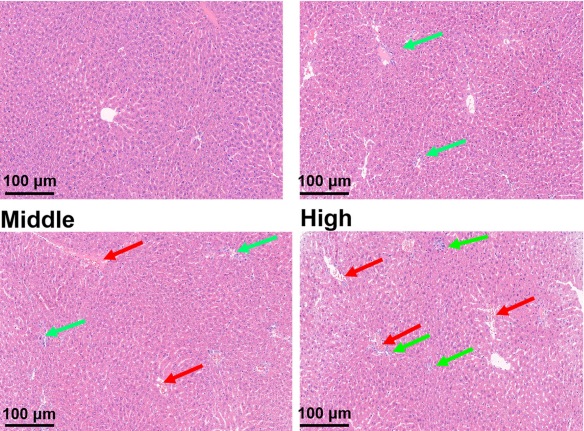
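These four fields show liver parenchyma stained pink and purple. The tissue is a continuous sheet of polygonal cells with pink cytoplasm and small round purple nuclei, packed closely in cords between narrow clear spaces. Small round or irregular empty lumens of vessels are scattered through each field. In three of the fields arrows point to small patches where purple-blue nuclei crowd more densely than in the surrounding tissue, and to spots around vessel lumens and along thin pink strands. The first field shows an even, uniform sheet of cells without such marked patches.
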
